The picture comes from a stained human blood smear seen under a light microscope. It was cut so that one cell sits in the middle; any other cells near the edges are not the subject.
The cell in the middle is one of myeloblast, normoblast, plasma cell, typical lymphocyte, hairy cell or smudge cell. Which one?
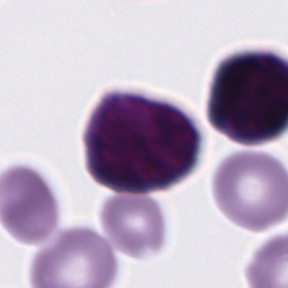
myeloblast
